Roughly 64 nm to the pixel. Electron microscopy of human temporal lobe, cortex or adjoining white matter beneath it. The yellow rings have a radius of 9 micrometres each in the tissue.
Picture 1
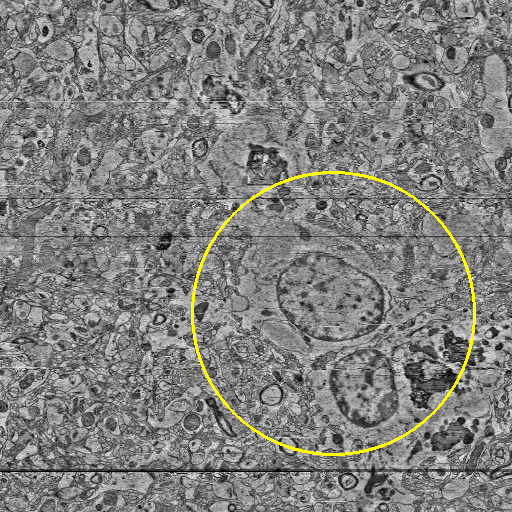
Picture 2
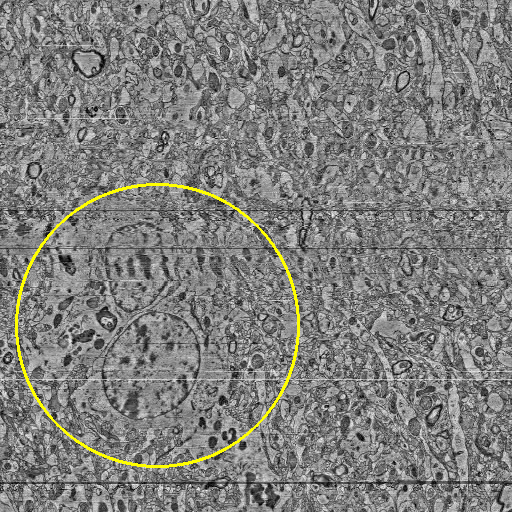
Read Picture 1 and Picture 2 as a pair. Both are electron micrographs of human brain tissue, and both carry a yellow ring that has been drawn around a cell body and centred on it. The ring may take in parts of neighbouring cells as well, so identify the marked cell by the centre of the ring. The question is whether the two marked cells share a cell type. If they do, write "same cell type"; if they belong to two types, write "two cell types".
same cell type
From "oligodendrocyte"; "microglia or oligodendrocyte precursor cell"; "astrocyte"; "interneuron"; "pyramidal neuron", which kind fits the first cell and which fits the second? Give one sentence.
The cell in the first picture is an astrocyte, and so is the one in the second.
